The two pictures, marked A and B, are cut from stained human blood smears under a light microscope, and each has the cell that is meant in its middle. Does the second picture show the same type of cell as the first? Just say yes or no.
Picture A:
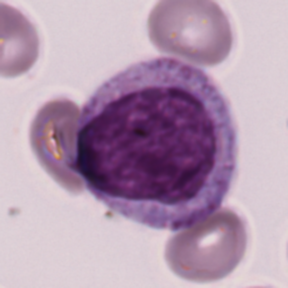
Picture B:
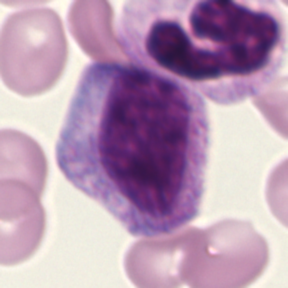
yes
